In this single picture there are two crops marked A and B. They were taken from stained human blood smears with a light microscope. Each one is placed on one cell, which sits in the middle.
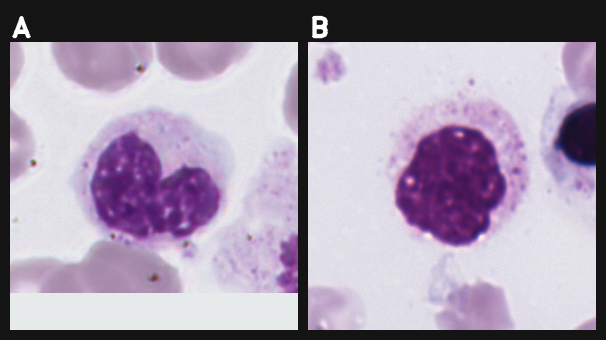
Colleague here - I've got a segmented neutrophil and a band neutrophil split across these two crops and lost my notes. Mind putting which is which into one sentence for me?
The cell at the middle is a band neutrophil in crop A, but a segmented neutrophil in crop B.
